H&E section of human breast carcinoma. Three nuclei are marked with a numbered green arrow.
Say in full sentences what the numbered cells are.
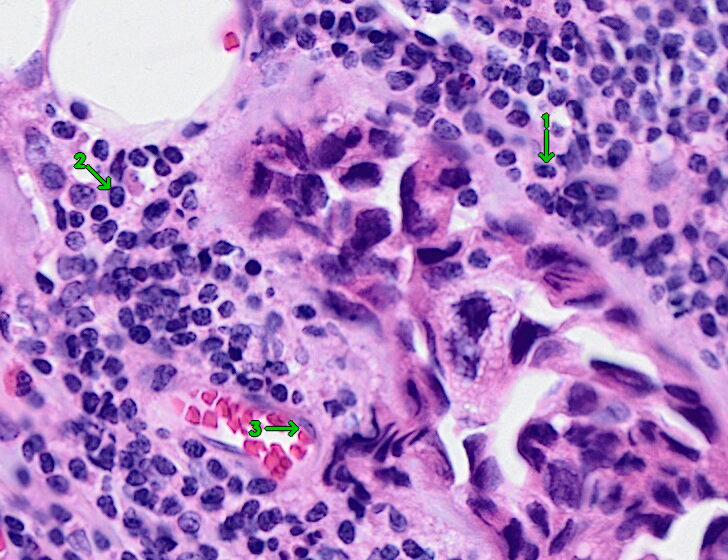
Cells 1 and 2 are lymphocytes. Cell 3 is an endothelial cell.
